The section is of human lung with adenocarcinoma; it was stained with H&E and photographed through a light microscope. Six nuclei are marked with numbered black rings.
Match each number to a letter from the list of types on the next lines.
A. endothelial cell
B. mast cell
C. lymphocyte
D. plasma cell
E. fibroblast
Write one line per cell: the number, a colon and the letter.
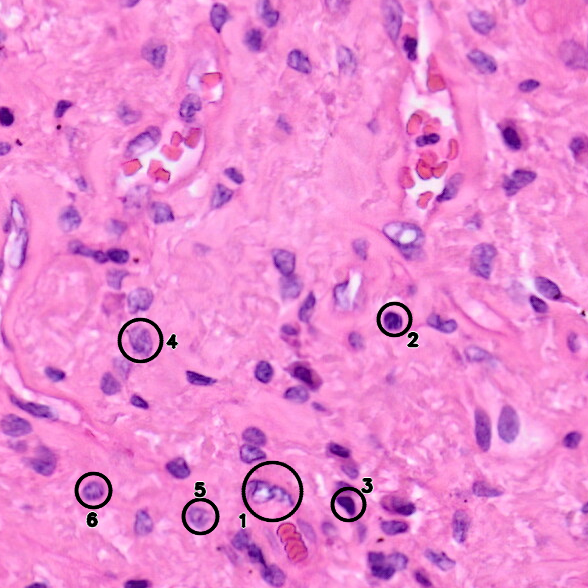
1: A
2: C
3: D
4: E
5: E
6: B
